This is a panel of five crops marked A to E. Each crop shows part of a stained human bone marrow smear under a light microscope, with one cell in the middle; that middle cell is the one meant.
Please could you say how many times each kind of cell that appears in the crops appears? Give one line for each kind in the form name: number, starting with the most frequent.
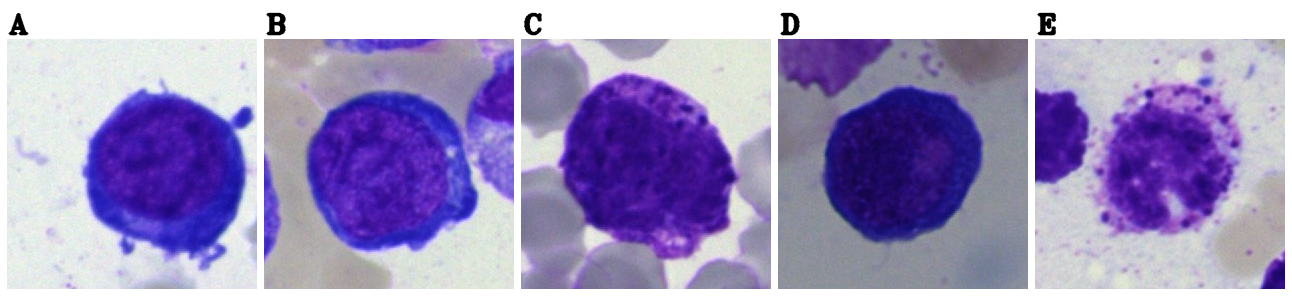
proerythroblast: 3
basophil: 2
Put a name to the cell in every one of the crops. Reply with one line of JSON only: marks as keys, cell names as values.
{"A": "proerythroblast", "B": "proerythroblast", "C": "basophil", "D": "proerythroblast", "E": "basophil"}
